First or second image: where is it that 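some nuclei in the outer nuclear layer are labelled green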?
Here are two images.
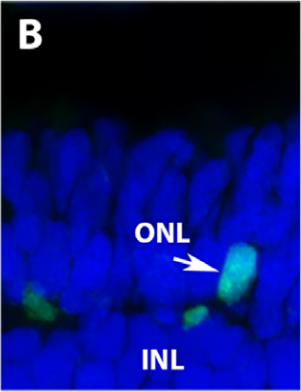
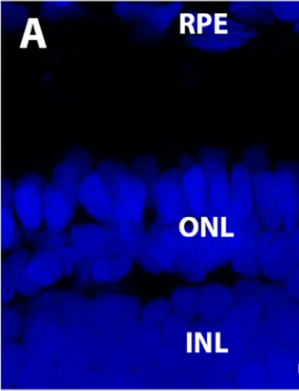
The first image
